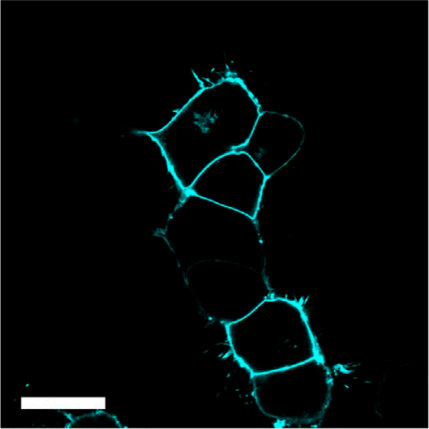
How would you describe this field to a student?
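A small cluster of closely packed cultured cells is shown, their plasma membranes drawn as sharp cyan lines that form a polygonal network where neighbouring cells meet. Short fine protrusions extend from the outer edges of the cluster. The cell interiors are mostly dark, with a little punctate cyan material inside one or two cells.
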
